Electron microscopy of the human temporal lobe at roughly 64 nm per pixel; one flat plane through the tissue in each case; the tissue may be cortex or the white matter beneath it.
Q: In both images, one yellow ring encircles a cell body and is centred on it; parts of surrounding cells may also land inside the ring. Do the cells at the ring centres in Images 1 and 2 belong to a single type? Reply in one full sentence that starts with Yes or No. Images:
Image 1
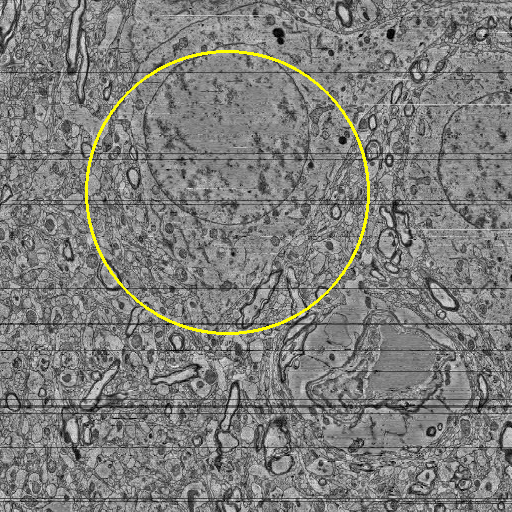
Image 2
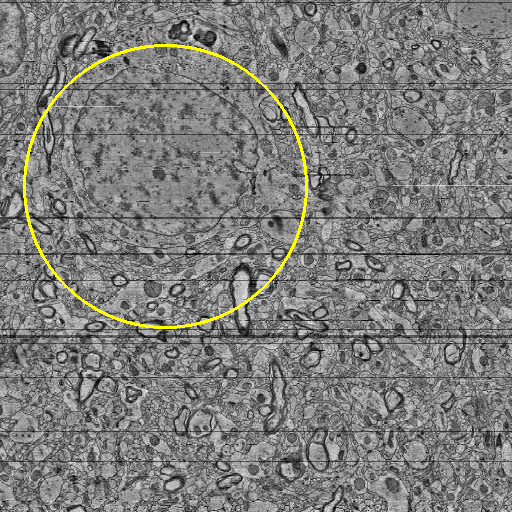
Yes, the cells at the ring centres in Images 1 and 2 are of a single type.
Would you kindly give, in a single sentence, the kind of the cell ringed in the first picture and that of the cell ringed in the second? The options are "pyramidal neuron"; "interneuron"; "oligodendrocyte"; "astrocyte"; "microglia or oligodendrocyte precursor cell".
Each cell at the centre of a ring is a pyramidal neuron.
